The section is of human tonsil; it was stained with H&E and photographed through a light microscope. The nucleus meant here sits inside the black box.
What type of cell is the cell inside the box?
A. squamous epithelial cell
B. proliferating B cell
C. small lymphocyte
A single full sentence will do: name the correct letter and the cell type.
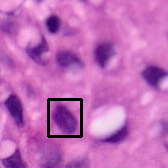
Option A is correct in that the cell inside the box is a squamous epithelial cell.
